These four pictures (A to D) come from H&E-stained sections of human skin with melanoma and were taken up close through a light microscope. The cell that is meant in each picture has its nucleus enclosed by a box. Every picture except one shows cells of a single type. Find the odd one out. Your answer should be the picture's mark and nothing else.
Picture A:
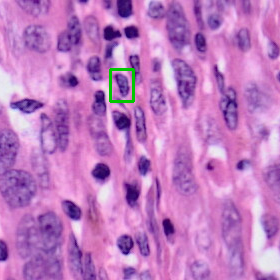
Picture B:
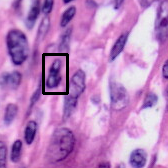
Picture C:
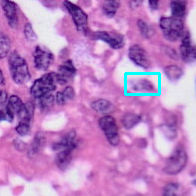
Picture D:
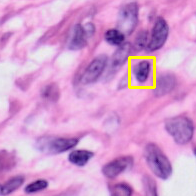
C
